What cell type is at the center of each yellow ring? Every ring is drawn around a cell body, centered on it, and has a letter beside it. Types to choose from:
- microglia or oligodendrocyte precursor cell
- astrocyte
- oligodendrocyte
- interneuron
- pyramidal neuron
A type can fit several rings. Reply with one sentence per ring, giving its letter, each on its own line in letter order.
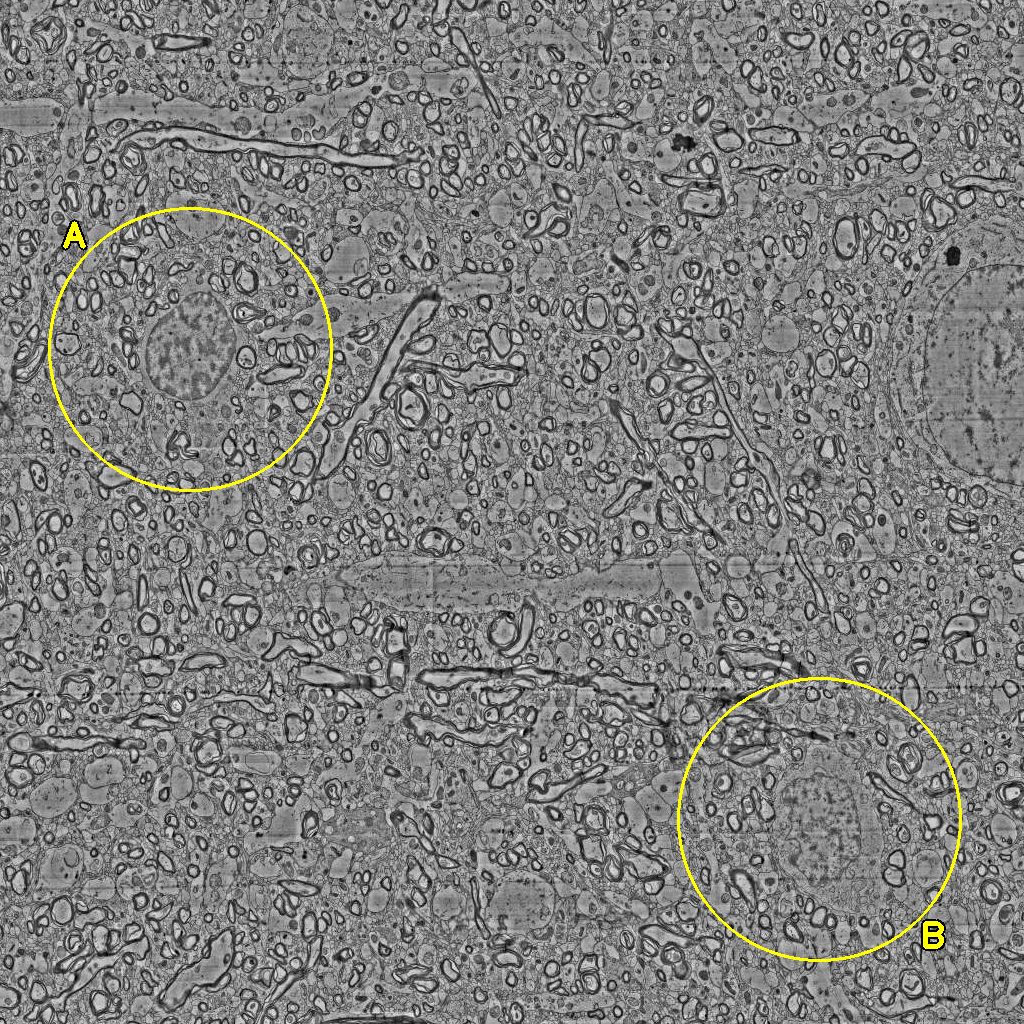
Ring A is placed around an oligodendrocyte.
Ring B is placed around an interneuron.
